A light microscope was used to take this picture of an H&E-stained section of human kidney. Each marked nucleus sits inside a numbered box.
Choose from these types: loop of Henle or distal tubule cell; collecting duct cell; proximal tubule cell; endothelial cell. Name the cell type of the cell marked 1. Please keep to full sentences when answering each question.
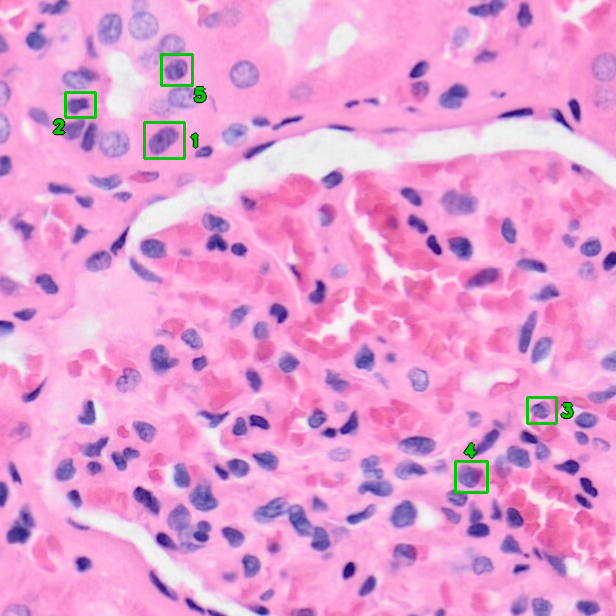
The cell that bears the number 1 is a collecting duct cell.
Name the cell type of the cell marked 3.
Nucleus 3 in this section belongs to an endothelial cell.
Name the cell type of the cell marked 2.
Cell 2 in the field of view is a collecting duct cell.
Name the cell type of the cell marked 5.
That cell with number 5 is a collecting duct cell.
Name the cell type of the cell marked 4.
At number 4, the marked cell is an endothelial cell.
